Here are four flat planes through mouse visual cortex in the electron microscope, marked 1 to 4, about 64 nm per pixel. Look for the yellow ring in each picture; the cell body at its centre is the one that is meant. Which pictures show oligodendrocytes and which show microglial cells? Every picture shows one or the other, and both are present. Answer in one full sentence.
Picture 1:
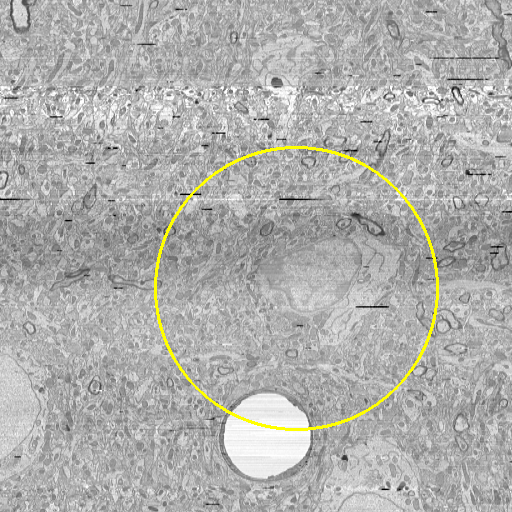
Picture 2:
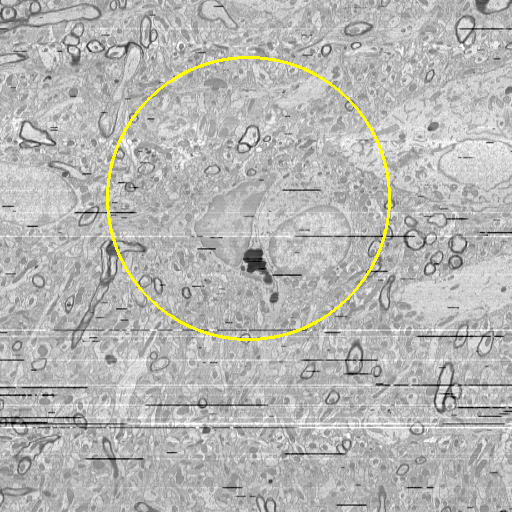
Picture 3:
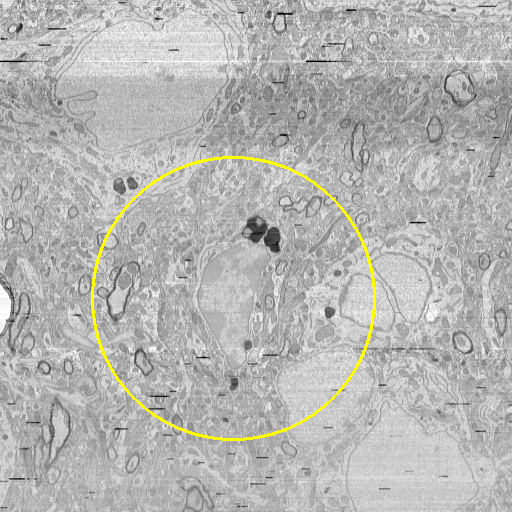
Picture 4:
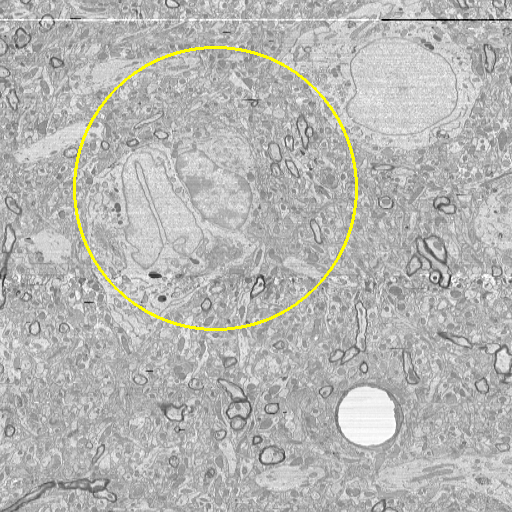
Pictures 1 and 4 show oligodendrocytes; pictures 2 and 3 show microglial cells.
